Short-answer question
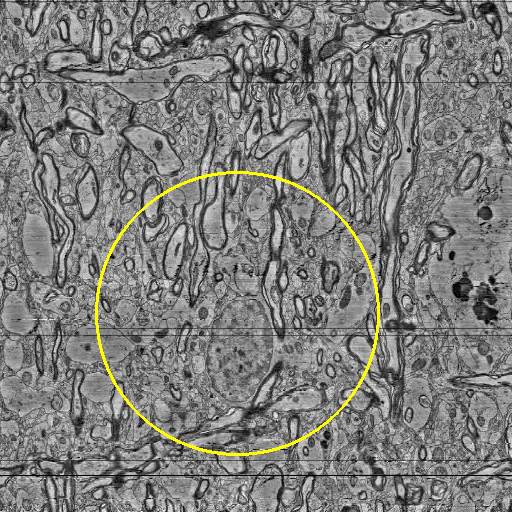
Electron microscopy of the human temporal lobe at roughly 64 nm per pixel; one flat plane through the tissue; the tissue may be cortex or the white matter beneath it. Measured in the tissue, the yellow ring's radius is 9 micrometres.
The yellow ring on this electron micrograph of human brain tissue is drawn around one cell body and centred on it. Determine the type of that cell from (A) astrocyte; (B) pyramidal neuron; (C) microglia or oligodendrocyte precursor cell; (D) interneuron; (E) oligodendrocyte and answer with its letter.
E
